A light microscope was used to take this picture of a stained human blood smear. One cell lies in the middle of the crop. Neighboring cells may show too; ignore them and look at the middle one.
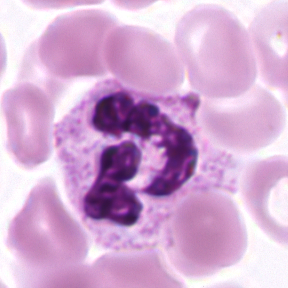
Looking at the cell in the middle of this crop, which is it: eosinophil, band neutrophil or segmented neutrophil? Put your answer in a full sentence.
To answer, the cell in the center of the crop is a segmented neutrophil.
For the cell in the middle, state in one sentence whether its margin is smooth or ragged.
The cell membrane follows an uneven contour, either ragged or bearing projections.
